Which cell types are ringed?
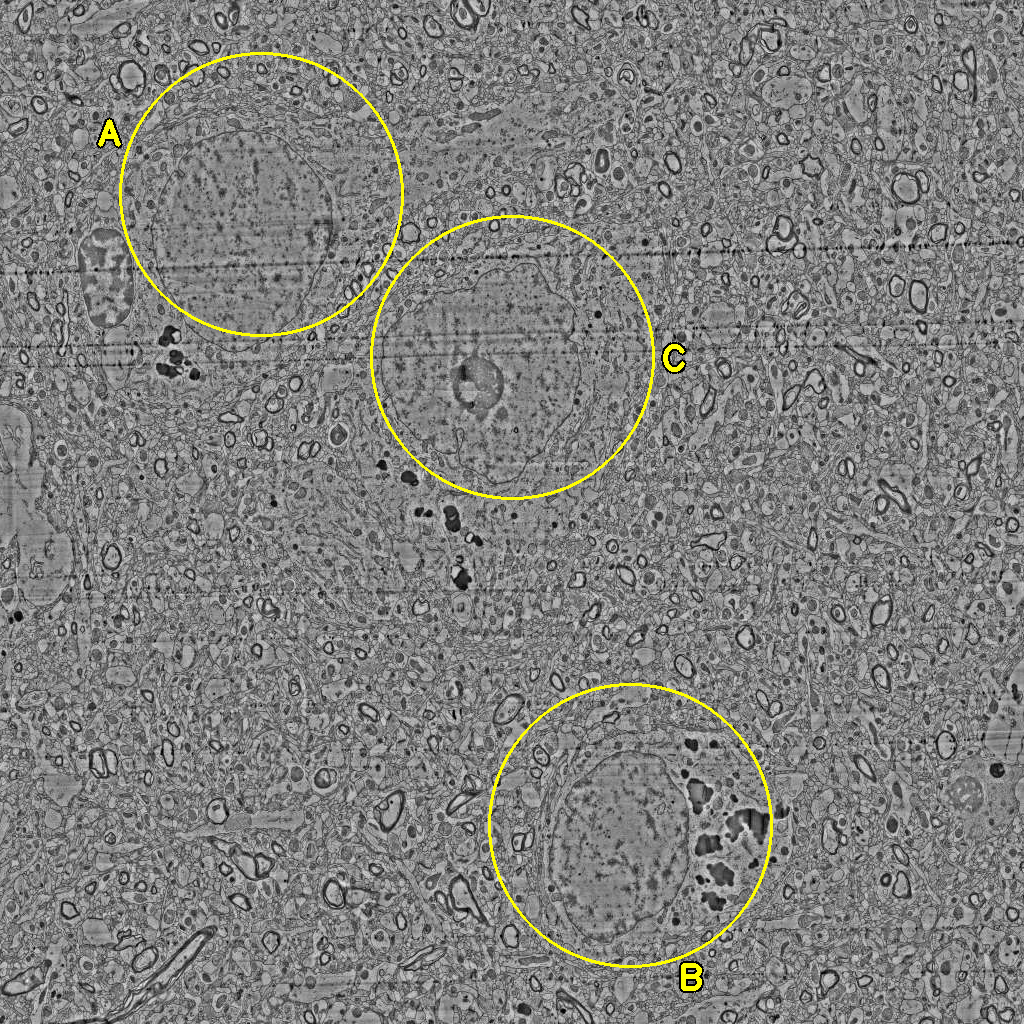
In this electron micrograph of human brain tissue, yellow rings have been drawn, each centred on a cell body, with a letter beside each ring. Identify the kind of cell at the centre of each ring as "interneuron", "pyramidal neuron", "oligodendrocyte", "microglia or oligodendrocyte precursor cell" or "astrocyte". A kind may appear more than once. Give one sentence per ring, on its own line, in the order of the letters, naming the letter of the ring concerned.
Ring A is drawn on a pyramidal neuron.
Ring B is drawn on an interneuron.
Ring C is drawn on a pyramidal neuron.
